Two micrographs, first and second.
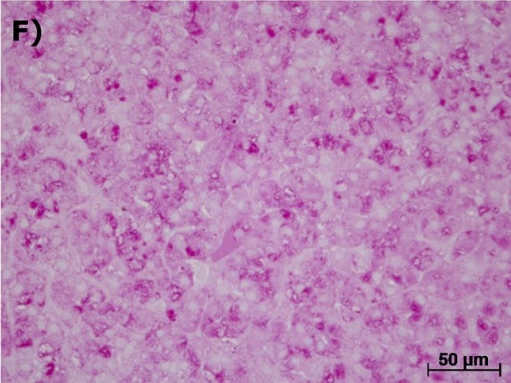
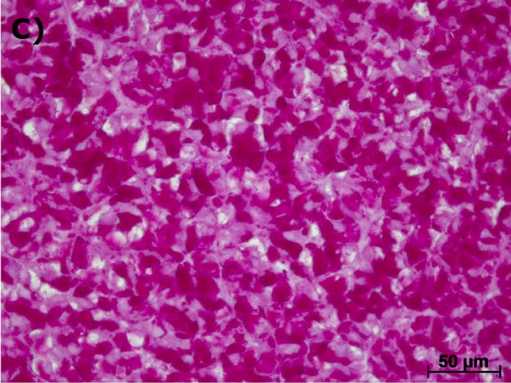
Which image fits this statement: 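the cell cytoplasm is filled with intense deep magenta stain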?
The second image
